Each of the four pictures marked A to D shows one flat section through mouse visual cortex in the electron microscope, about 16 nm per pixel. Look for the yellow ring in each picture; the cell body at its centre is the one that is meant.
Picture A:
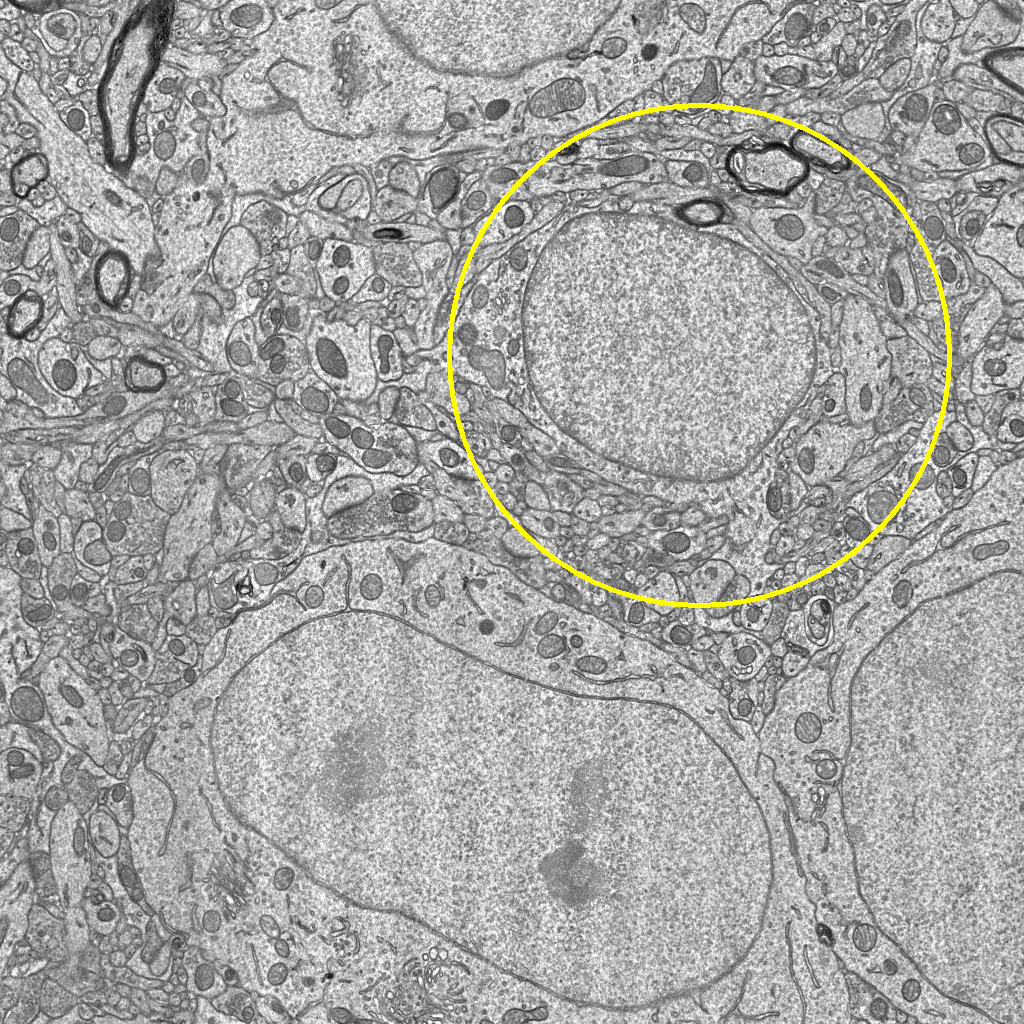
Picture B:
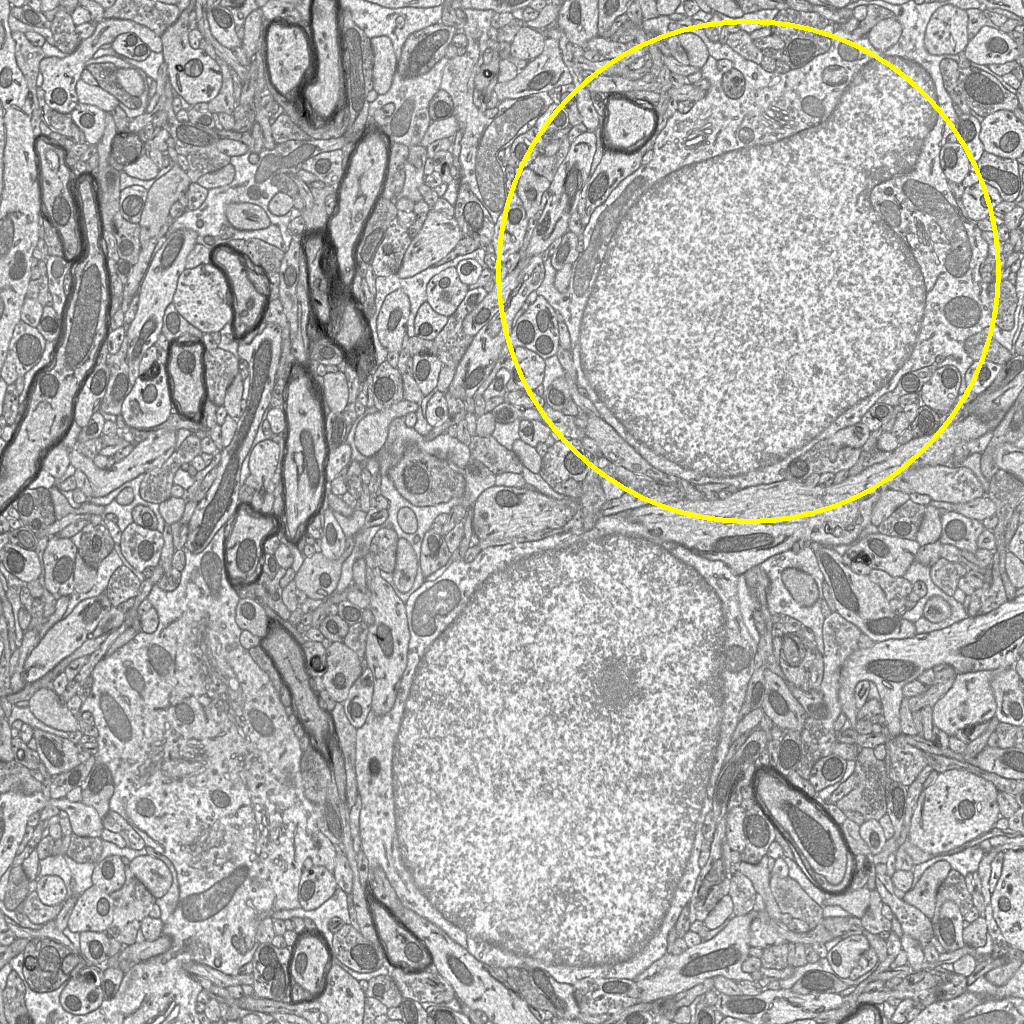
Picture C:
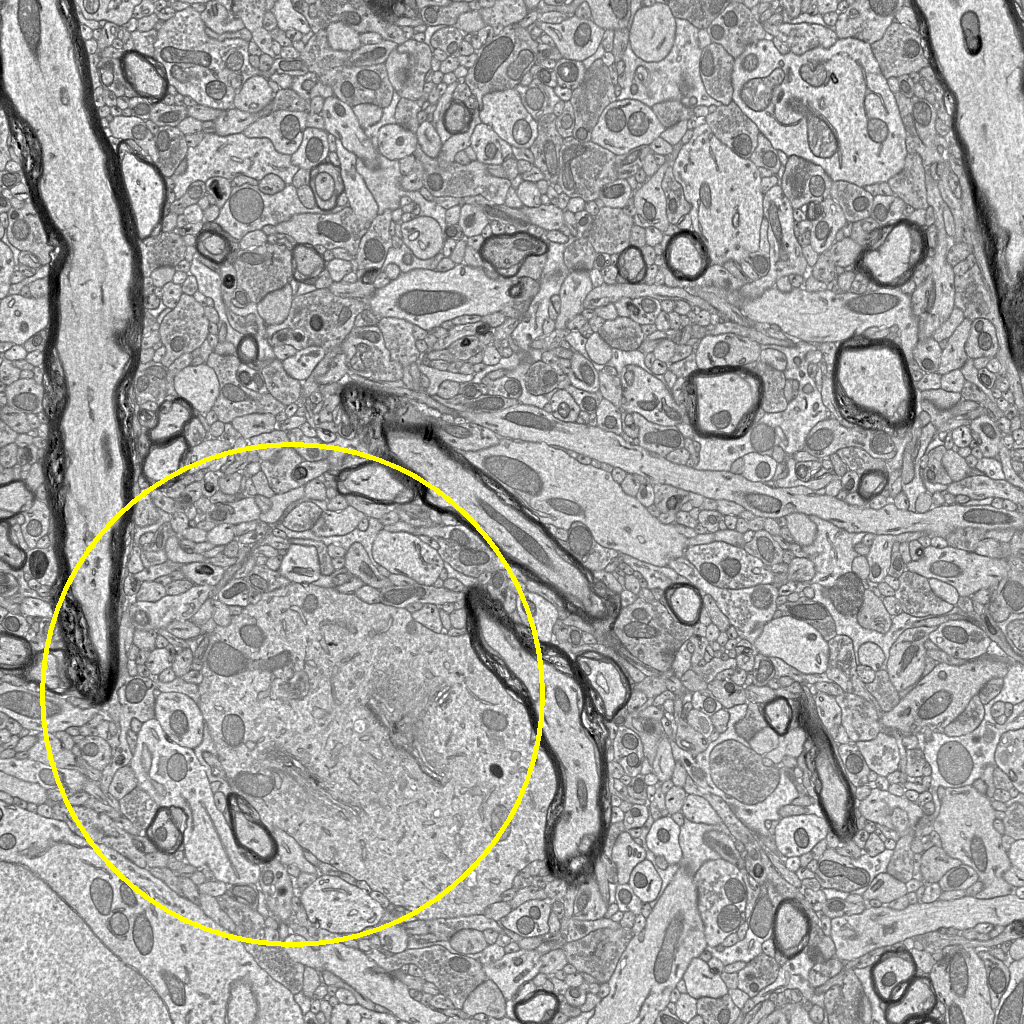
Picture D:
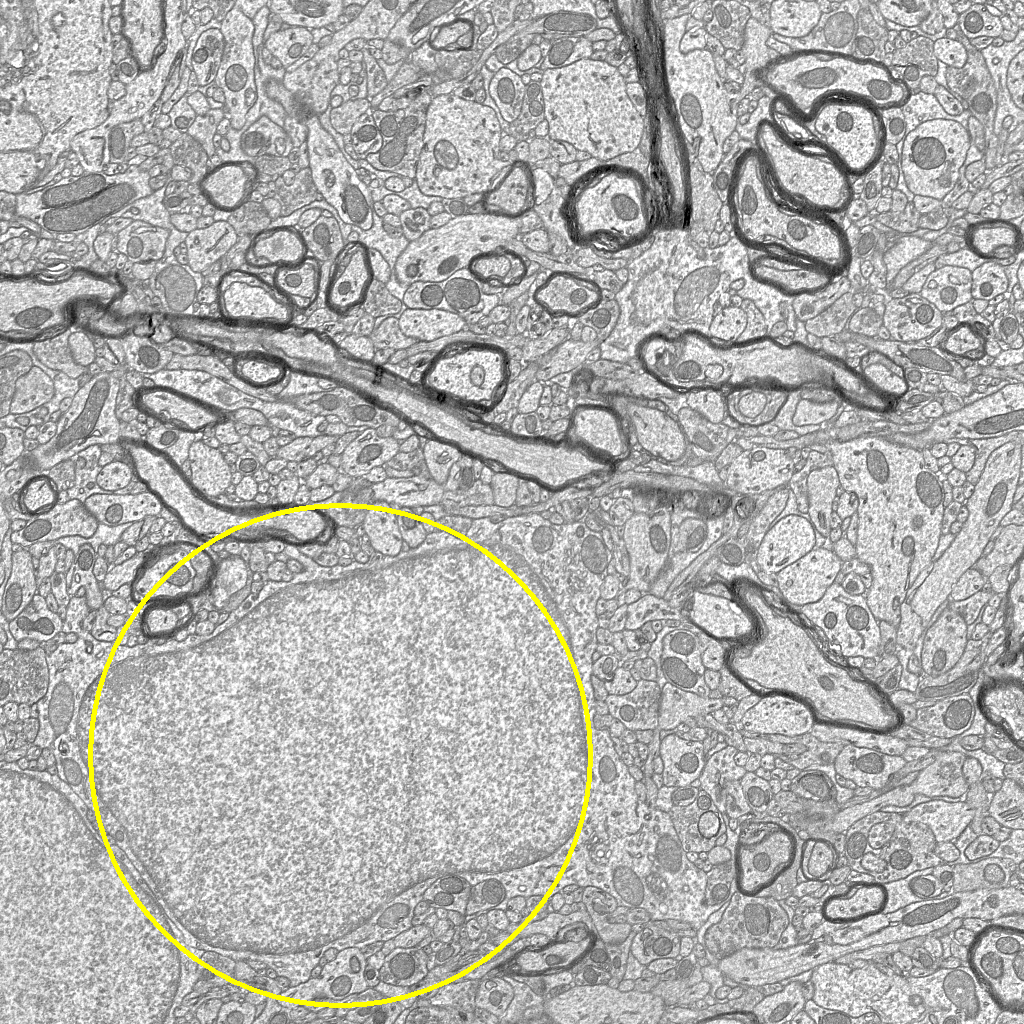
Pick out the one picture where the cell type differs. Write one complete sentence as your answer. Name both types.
The different one is picture C; it shows an oligodendrocyte, whereas all the others show astrocytes.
